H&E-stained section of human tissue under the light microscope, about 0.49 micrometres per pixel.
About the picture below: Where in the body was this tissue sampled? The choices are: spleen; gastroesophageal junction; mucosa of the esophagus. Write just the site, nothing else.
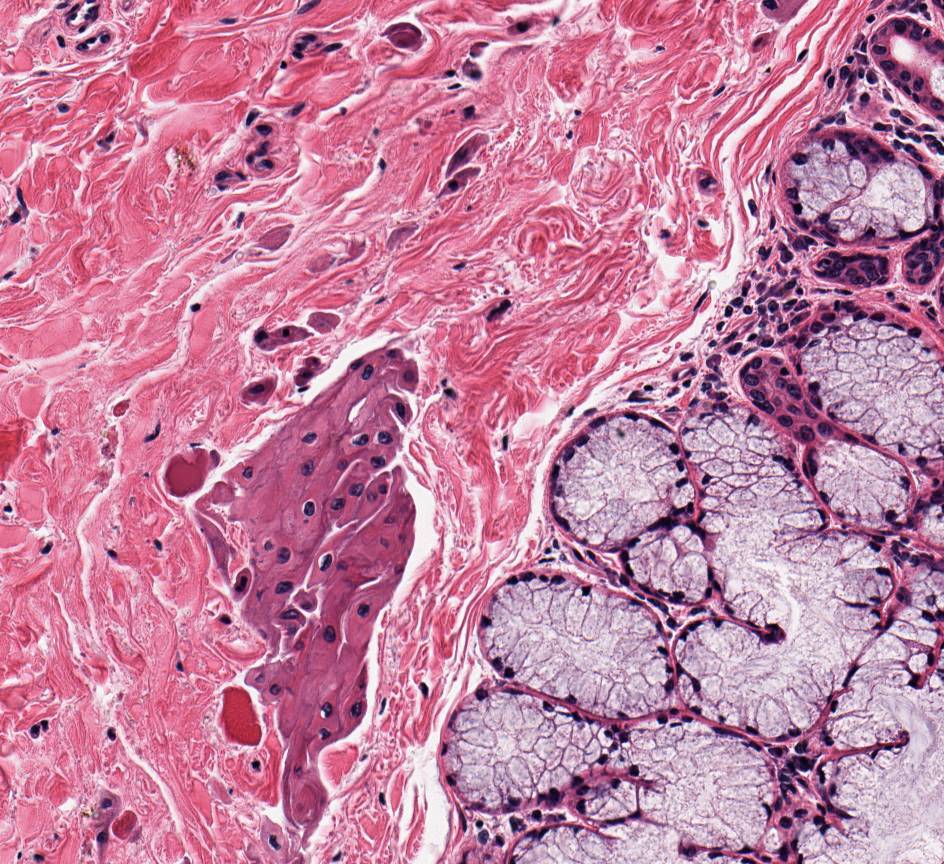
mucosa of the esophagus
